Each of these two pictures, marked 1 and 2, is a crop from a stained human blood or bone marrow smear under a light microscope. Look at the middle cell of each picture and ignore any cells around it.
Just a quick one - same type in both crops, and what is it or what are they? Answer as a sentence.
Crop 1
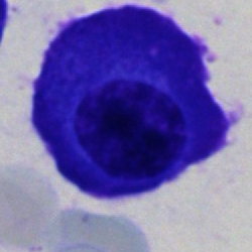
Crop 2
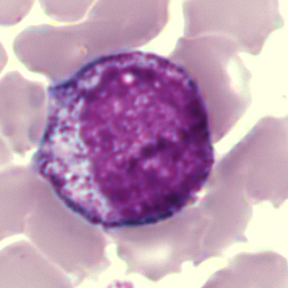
No, it is in crop 1 that a plasma cell is shown, and in crop 2 that a myelocyte is shown.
